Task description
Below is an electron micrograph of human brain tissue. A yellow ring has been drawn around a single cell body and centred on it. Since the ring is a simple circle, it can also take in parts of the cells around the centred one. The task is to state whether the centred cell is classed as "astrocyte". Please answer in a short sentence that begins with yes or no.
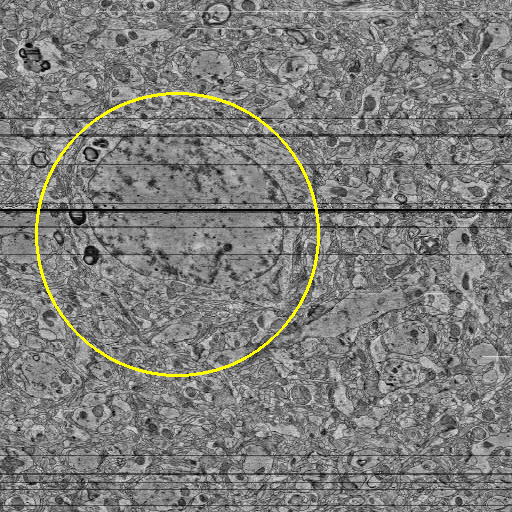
No, the centred cell is classed otherwise.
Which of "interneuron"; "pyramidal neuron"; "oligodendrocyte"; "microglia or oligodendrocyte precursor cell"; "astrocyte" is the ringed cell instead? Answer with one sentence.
What the ring is centred on is a pyramidal neuron.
